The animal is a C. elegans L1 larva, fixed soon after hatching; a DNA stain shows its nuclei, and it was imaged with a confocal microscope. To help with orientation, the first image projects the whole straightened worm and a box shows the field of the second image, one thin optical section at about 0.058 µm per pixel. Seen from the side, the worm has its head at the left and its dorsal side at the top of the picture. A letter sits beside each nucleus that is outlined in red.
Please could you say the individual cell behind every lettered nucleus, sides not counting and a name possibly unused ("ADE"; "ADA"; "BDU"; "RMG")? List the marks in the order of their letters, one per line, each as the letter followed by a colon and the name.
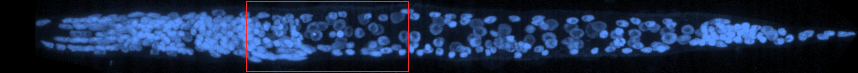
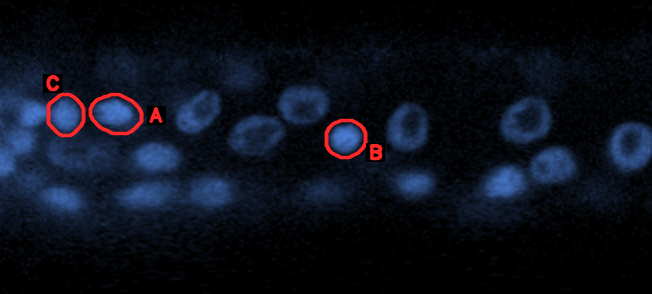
A: RMG
B: BDU
C: ADA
